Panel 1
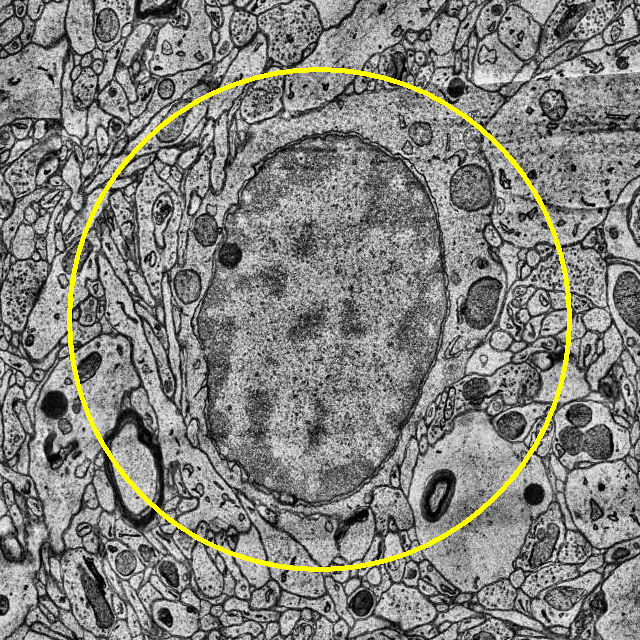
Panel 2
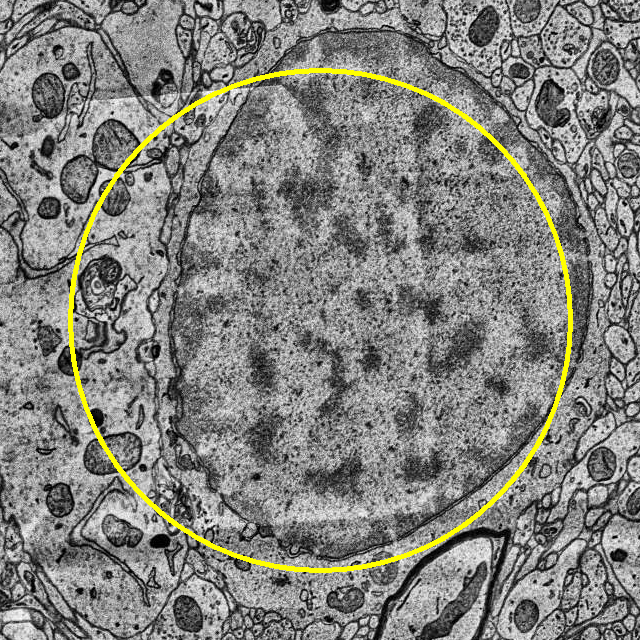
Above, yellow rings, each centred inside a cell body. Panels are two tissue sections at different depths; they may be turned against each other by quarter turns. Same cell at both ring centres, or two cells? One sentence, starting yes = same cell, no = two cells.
Yes, one cell appears twice, once in each ring.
